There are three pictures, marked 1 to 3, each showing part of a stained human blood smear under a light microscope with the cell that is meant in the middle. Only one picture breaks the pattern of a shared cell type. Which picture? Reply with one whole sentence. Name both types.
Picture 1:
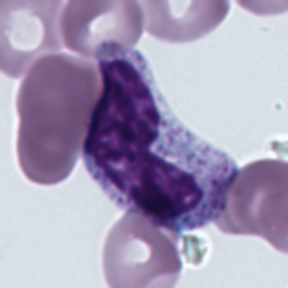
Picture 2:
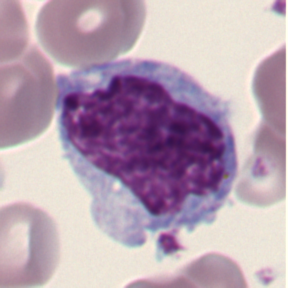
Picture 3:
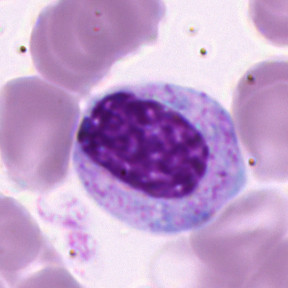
The different one is picture 2; it shows a monocyte, whereas all the others show metamyelocytes.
